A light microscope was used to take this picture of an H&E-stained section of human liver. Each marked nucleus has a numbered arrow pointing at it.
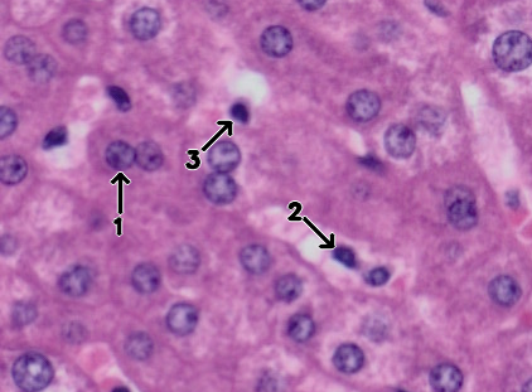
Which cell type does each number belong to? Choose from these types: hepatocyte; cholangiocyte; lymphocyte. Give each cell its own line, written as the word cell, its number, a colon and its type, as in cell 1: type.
cell 1: hepatocyte
cell 2: lymphocyte
cell 3: lymphocyte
